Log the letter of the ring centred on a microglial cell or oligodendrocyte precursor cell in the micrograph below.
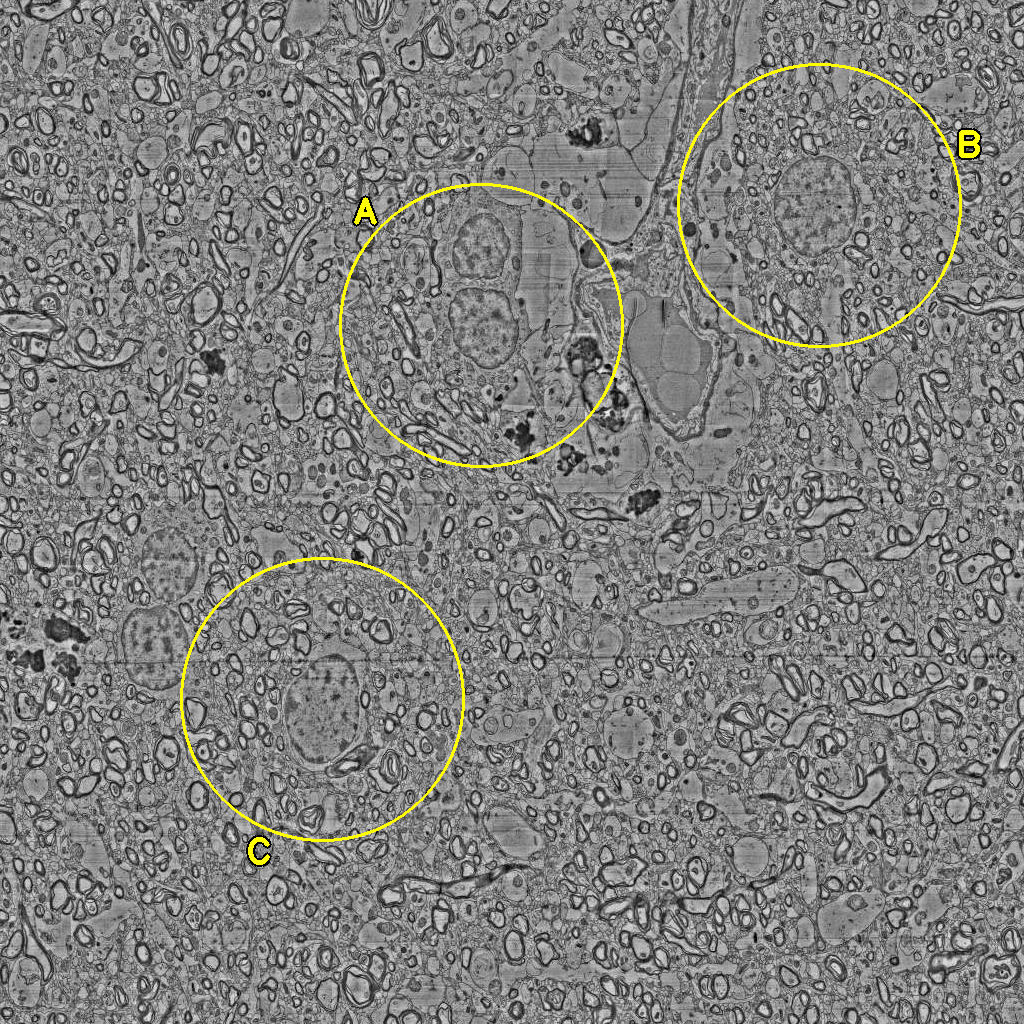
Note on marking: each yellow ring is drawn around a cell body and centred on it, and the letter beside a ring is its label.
C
